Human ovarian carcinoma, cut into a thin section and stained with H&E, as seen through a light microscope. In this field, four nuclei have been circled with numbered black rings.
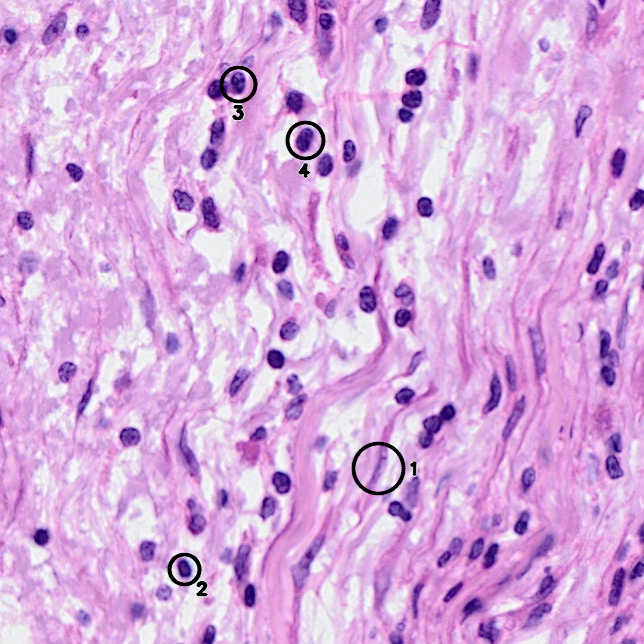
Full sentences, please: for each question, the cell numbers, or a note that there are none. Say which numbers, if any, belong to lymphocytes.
When it comes to cells 2, 3 and 4, they are lymphocytes.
